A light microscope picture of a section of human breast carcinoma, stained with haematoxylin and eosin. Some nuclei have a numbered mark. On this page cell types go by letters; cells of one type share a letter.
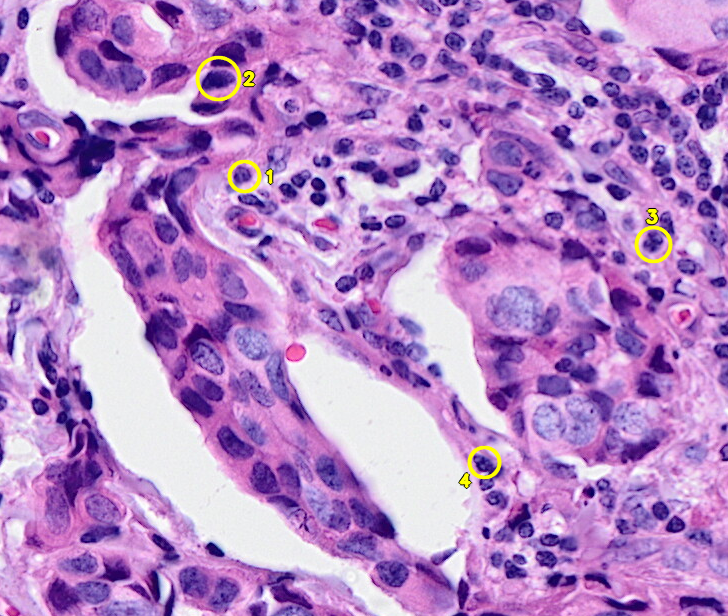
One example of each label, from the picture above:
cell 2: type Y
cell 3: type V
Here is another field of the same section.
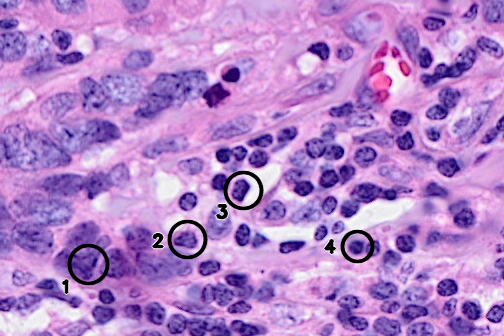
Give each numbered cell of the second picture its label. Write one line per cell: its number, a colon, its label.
1: type Y
2: type V
3: type V
4: type V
